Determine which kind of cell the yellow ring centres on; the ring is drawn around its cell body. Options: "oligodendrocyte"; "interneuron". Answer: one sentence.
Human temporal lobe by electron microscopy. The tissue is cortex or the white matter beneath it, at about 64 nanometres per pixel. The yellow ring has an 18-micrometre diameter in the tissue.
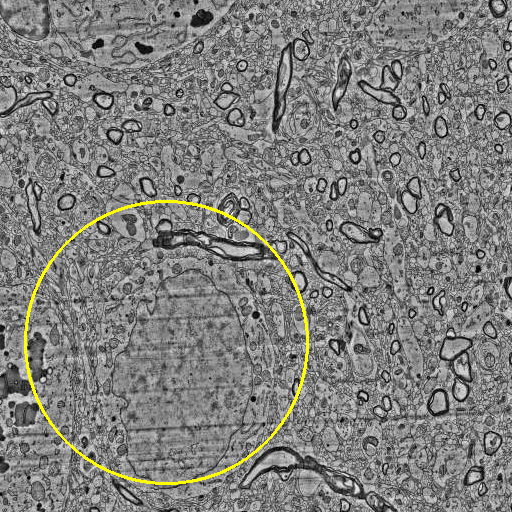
The ring centres on an interneuron.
